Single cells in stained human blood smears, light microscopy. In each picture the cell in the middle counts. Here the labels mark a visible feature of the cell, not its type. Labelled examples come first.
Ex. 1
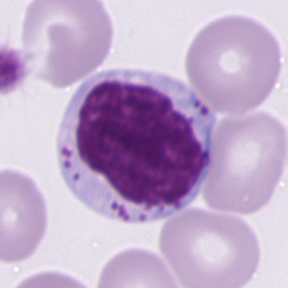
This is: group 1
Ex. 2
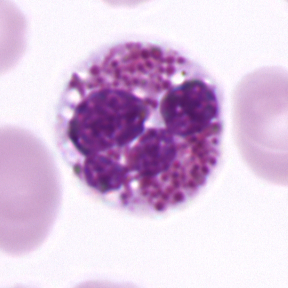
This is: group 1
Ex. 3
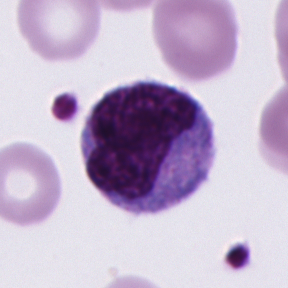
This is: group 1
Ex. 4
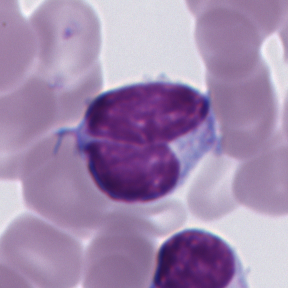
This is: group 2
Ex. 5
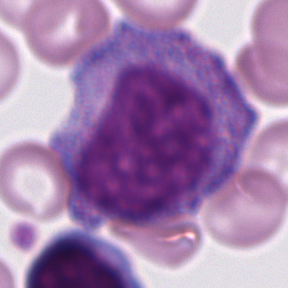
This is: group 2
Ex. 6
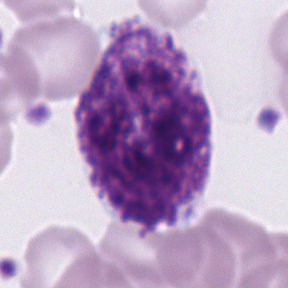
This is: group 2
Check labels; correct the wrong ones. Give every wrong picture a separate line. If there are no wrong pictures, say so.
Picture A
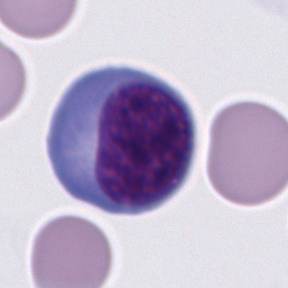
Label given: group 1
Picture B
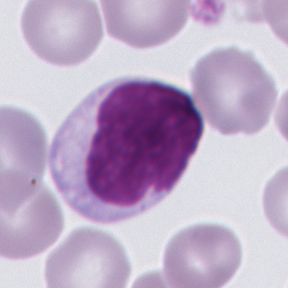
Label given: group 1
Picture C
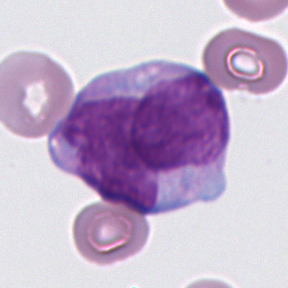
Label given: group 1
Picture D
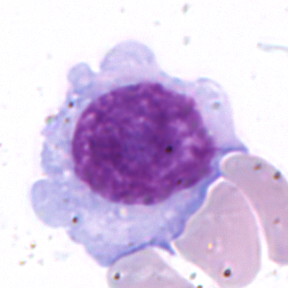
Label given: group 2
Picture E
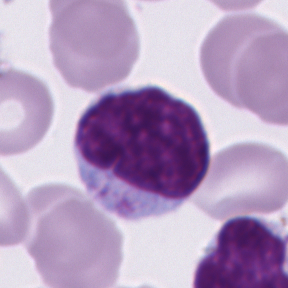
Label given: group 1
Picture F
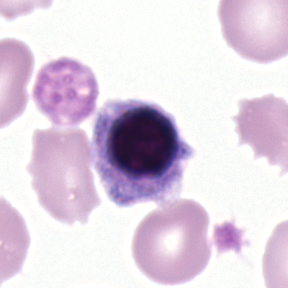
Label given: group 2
C: group 2, not group 1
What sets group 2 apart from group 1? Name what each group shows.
group 2: ragged outline or projections; group 1: smooth outline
